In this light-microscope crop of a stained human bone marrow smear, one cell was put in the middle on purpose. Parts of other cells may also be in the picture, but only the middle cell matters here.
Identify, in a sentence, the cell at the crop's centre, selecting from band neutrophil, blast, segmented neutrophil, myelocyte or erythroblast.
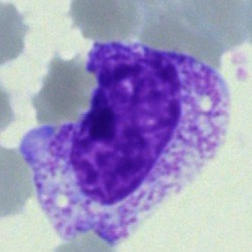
Classified as a myelocyte is the cell in the middle of this crop.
